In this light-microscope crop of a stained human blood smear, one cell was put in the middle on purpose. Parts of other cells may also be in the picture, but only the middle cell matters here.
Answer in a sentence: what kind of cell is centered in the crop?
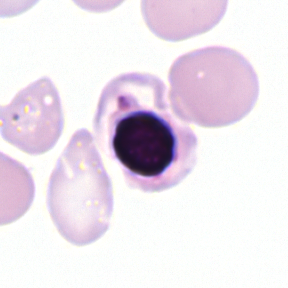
The cell in the middle of this crop is a normoblast.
